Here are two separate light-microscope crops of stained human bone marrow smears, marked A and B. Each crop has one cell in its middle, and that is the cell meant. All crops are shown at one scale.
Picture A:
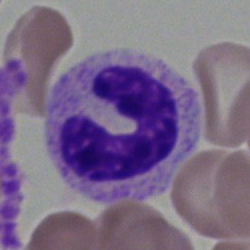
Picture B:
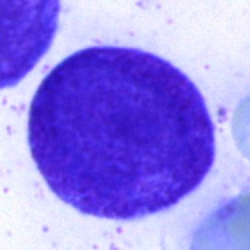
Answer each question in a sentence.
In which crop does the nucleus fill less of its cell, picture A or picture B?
Of the two, the nucleus in picture A leaves more room for cytoplasm.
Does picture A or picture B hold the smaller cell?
Picture A holds the smaller cell, since the cell in picture B covers about 1.5 times as much area.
